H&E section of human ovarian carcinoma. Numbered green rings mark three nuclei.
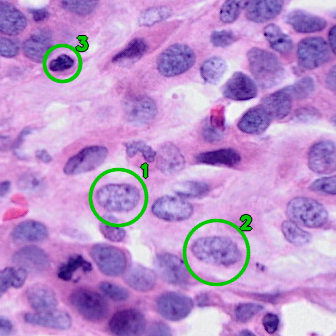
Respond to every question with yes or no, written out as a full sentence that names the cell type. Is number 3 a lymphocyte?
Yes, the cell with number 3 is a lymphocyte.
